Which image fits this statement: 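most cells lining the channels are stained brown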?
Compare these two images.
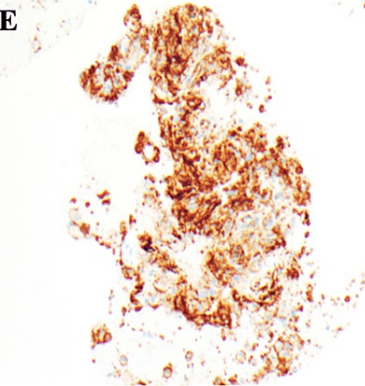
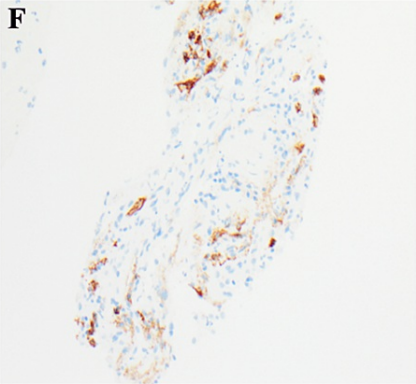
The first image.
